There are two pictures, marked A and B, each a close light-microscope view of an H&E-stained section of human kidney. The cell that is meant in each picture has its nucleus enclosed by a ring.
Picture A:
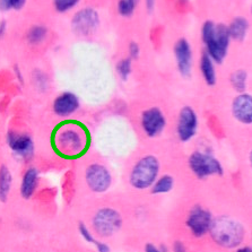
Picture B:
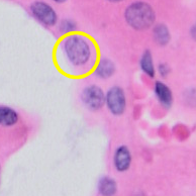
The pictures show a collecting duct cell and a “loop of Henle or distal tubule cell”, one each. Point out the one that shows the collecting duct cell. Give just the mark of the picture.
B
